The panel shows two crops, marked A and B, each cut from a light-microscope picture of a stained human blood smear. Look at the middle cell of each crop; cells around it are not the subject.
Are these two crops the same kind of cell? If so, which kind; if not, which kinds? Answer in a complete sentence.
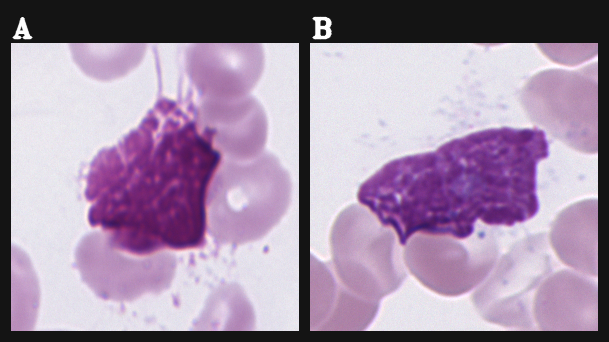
Yes, both crops in this set show smudge cells.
